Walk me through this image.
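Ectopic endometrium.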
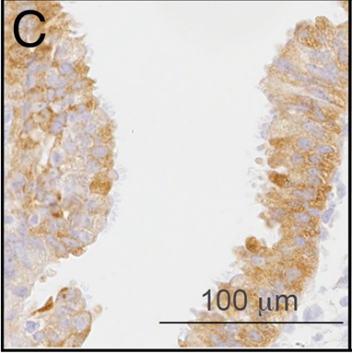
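Two facing layers of epithelium border an open lumen, made of tall crowded columnar cells. The epithelium appears several cells thick and somewhat irregular along its surface. Little stroma is visible behind the epithelial layers.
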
